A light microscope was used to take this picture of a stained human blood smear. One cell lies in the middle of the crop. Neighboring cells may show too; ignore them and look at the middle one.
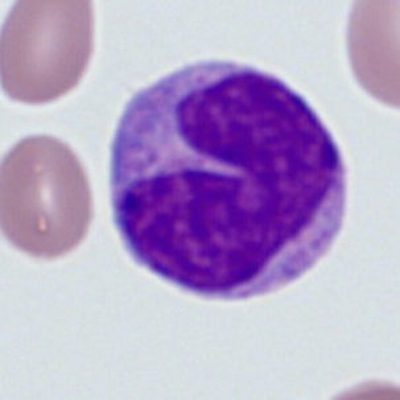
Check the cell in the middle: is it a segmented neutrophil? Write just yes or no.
no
